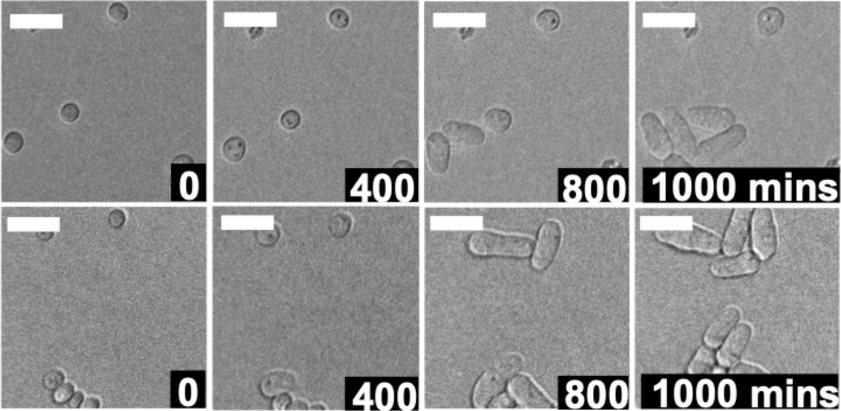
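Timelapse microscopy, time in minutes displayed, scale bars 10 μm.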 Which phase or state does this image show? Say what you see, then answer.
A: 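Germinating spores. Early frames show small round cells. Later frames of the series show larger elongated rod-shaped cells with rounded ends.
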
